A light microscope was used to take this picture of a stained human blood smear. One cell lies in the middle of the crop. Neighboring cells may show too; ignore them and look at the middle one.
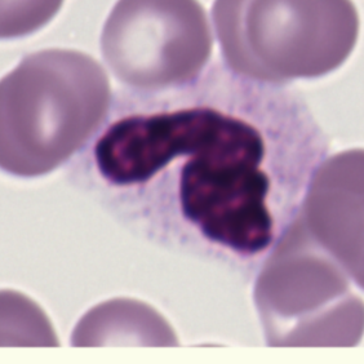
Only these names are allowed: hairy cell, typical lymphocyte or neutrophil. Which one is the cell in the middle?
neutrophil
